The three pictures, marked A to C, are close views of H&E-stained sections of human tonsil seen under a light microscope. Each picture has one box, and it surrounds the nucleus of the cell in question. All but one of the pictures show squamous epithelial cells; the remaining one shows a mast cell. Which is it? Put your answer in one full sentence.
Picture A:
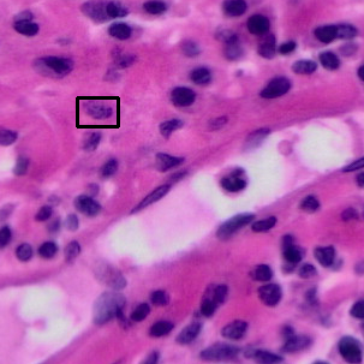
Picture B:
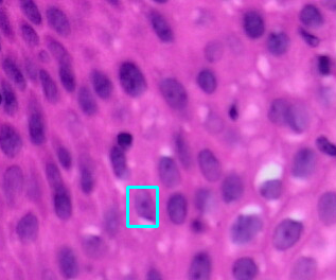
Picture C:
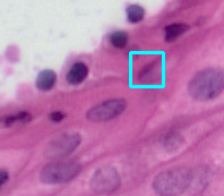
It is picture A that shows the mast cell.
